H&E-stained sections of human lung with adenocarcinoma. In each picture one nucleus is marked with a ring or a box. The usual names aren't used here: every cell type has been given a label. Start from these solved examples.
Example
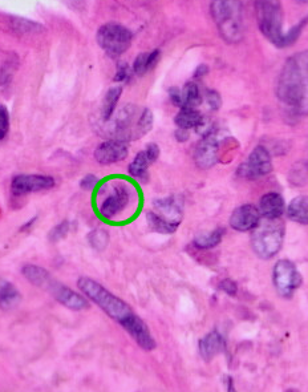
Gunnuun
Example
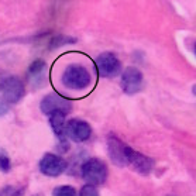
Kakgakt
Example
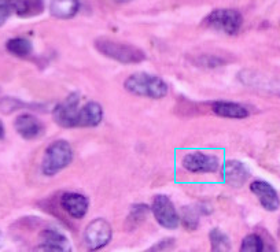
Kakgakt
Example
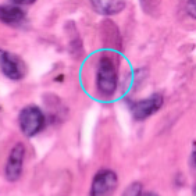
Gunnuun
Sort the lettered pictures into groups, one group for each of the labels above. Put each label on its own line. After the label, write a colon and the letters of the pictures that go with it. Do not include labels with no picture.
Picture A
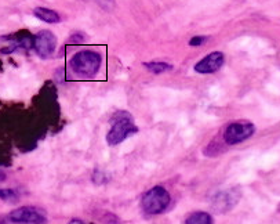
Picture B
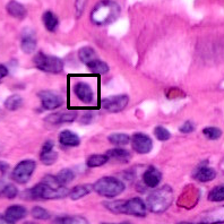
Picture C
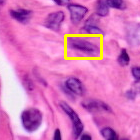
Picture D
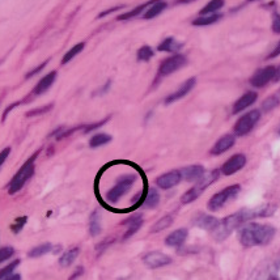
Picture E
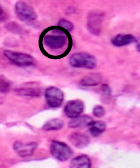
Gunnuun: A, C, E
Kakgakt: B, D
